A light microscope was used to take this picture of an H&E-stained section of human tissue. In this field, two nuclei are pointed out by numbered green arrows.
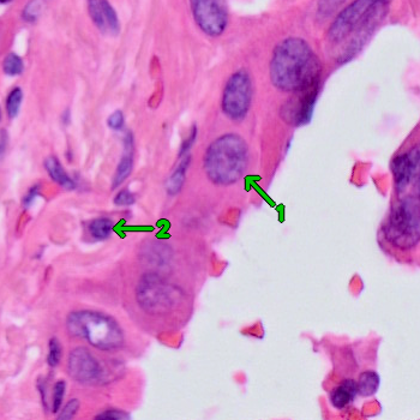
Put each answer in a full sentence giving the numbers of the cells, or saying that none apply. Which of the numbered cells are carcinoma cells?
As for the numbered cells, only cell 1 is a carcinoma cell.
